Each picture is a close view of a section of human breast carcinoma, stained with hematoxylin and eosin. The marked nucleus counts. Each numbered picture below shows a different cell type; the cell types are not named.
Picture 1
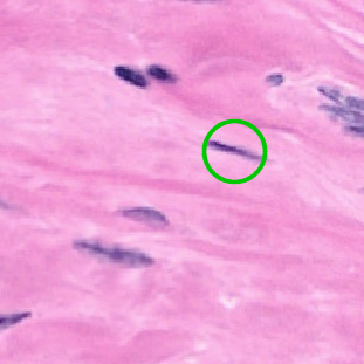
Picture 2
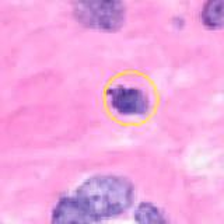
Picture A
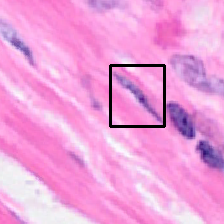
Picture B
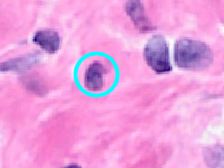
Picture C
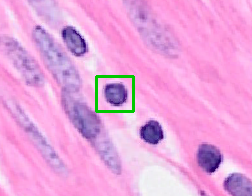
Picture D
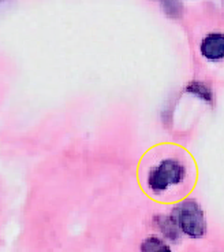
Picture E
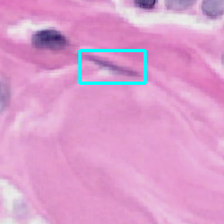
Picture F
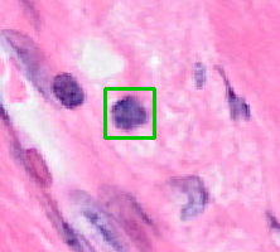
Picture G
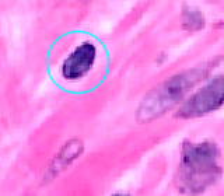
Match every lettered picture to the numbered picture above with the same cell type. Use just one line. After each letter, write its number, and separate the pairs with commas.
A 1, B 2, C 2, D 2, E 1, F 2, G 2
